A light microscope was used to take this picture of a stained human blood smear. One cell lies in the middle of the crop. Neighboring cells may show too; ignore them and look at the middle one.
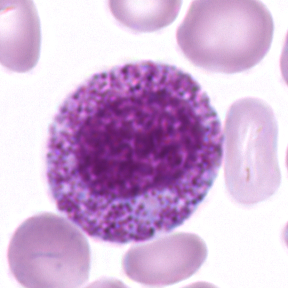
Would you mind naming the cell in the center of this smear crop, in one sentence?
The cell in the middle of the field of view is a myelocyte.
